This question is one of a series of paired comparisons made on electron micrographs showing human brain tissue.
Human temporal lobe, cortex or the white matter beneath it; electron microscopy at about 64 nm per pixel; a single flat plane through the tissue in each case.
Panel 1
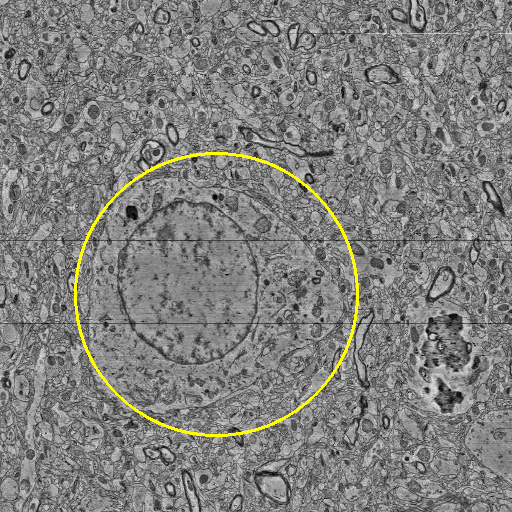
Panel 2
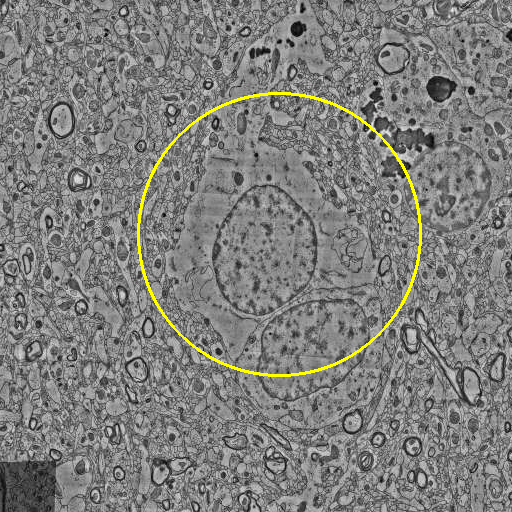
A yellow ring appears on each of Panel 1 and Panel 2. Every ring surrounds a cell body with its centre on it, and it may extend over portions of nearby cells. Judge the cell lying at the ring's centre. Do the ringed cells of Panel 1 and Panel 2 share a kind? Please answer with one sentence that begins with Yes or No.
No, the ring-centre cell in Panel 1 and the one in Panel 2 are of two kinds.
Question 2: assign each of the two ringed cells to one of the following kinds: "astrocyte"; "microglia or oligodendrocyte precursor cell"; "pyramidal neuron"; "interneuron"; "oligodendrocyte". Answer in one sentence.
The two cells are a pyramidal neuron in the first picture and an astrocyte in the second.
